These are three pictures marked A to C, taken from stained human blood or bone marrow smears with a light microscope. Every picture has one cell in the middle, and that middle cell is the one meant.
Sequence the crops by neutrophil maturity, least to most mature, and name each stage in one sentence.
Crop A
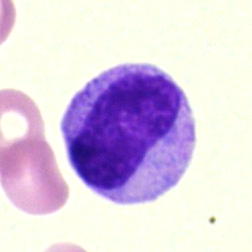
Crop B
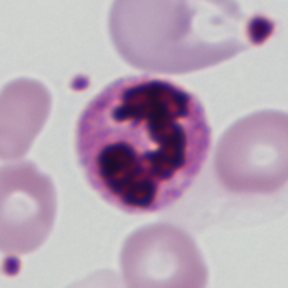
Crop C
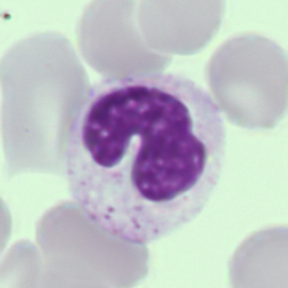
The order, going from least to most mature, is crop A (a metamyelocyte), crop C (a band neutrophil) and crop B (a segmented neutrophil).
